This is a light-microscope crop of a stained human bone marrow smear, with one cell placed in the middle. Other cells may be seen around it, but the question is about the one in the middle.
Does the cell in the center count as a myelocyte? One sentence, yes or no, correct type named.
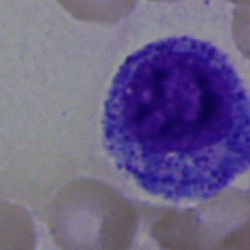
No, the central cell is a promyelocyte; it should not be labelled a myelocyte.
